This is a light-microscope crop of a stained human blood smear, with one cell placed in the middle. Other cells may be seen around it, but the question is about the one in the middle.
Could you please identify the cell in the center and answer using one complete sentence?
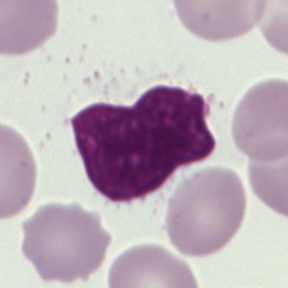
On this slide crop, the central cell is a smudge cell.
